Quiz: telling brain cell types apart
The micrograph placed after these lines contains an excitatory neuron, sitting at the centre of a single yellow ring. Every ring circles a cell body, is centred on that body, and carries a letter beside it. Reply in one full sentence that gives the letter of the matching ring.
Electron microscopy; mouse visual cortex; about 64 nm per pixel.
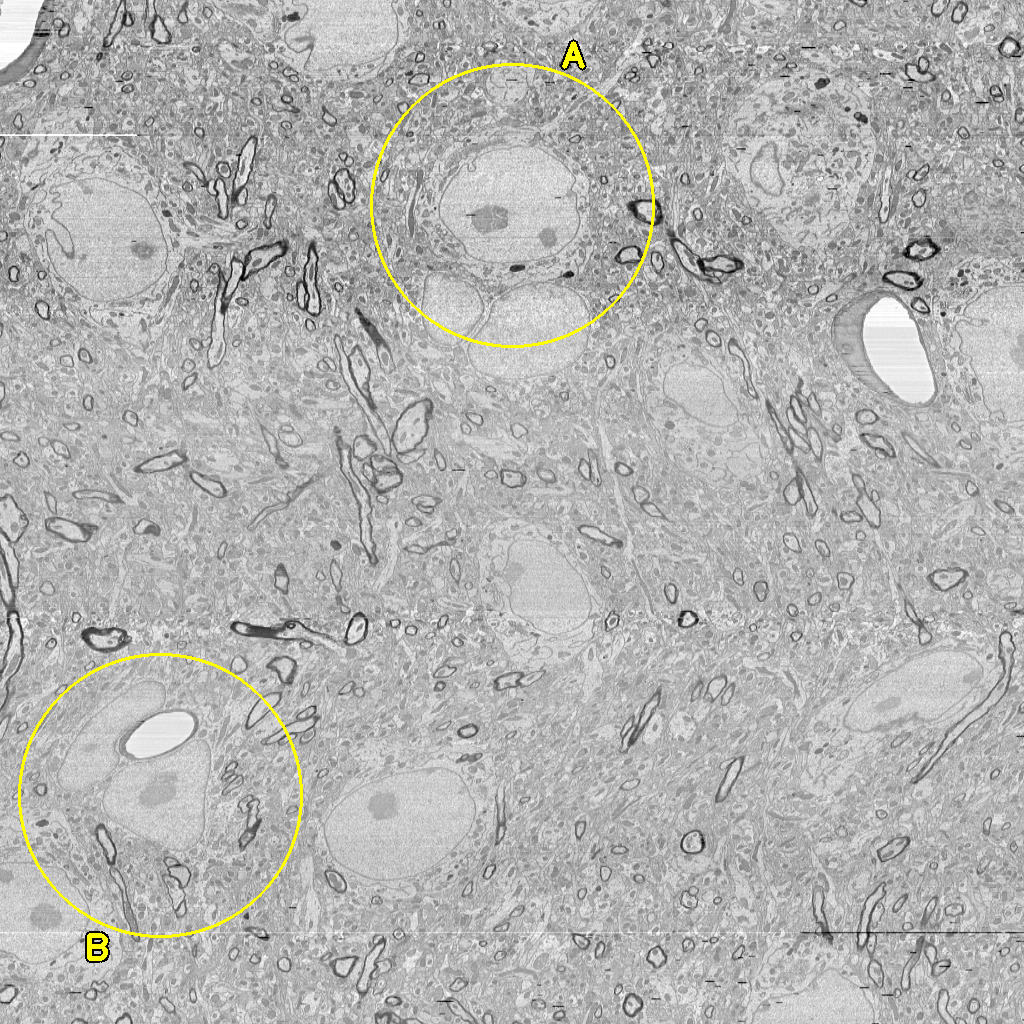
The cell asked for lies at the centre of ring A in the picture.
